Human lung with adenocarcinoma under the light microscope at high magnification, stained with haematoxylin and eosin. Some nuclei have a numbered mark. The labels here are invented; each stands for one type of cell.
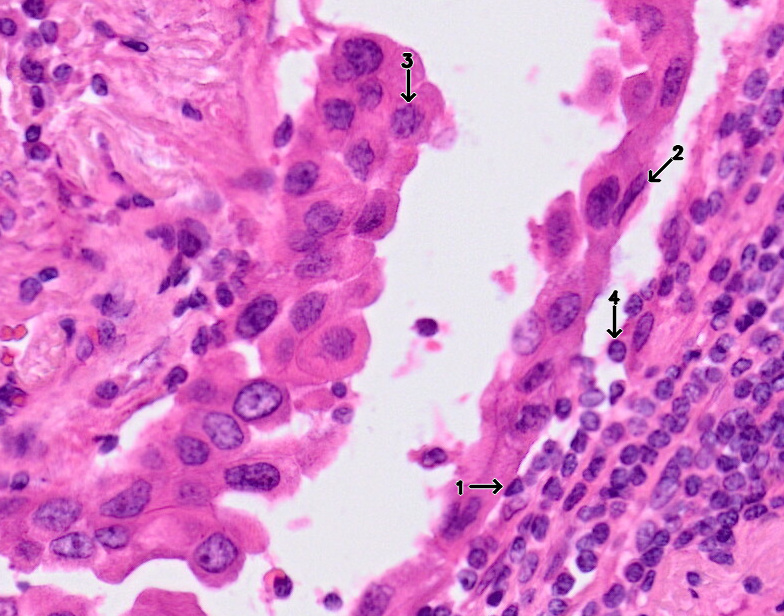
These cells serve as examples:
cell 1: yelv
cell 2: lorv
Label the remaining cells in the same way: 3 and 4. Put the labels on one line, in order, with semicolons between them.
lorv; yelv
